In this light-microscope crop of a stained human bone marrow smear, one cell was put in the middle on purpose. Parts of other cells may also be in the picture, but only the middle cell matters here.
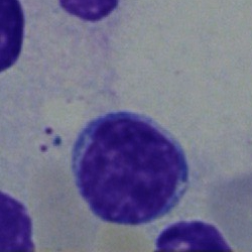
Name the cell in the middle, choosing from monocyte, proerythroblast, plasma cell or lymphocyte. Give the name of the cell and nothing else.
lymphocyte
